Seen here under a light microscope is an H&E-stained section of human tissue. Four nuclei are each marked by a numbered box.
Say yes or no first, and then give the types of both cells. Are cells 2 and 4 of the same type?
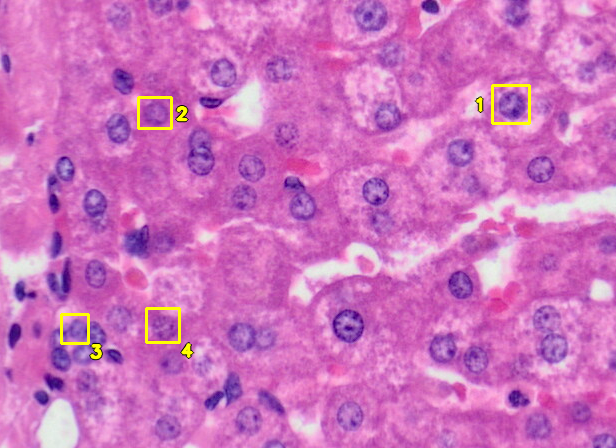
Yes, both are hepatocytes.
